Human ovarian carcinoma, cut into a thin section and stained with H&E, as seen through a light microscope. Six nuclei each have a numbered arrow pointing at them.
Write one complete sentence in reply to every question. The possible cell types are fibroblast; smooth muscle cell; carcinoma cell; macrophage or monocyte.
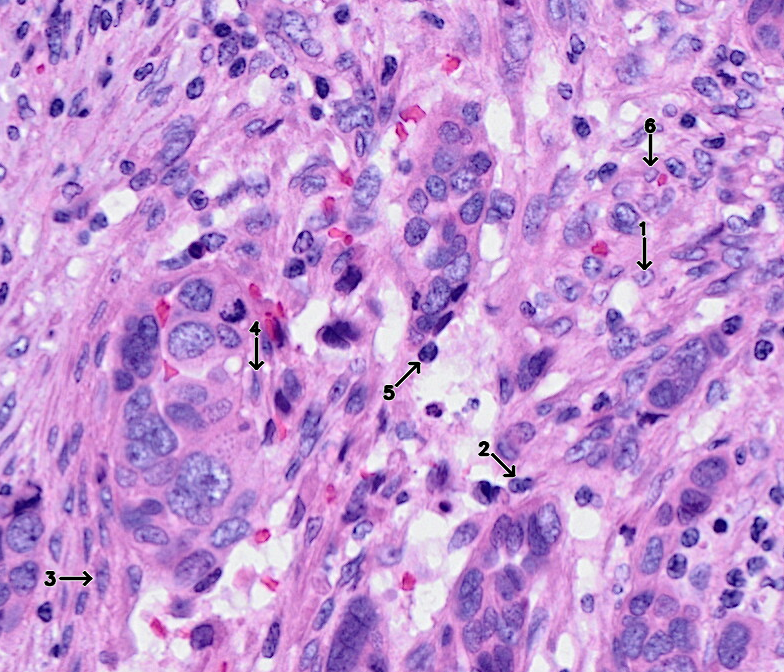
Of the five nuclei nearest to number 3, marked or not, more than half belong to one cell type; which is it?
Of the five nuclei nearest to number 3, most belong to fibroblasts.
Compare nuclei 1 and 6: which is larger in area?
Nucleus 1 is larger, with an area about 1.5 times that of nucleus 6.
